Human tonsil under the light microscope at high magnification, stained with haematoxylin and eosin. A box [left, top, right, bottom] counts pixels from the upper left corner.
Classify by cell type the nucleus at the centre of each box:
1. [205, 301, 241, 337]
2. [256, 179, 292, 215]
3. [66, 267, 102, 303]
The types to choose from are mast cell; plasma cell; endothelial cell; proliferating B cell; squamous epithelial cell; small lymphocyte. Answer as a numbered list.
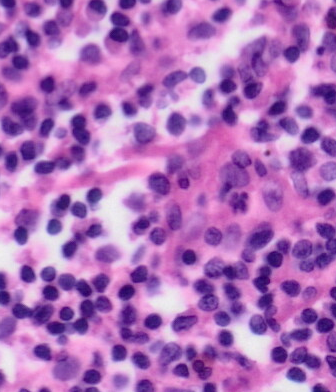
1. small lymphocyte
2. endothelial cell
3. small lymphocyte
